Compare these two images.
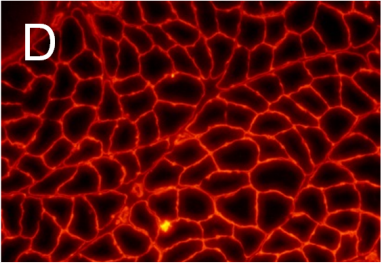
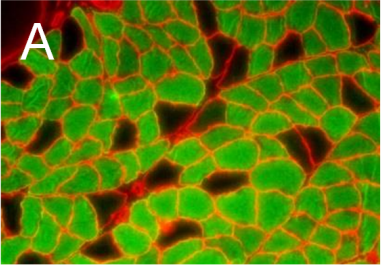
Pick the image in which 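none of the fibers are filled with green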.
The first image.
